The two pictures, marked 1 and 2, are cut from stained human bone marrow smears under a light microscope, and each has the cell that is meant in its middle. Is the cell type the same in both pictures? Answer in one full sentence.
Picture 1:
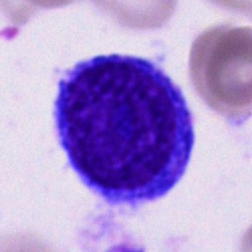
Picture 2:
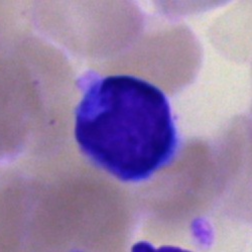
No, picture 1 shows a blast and picture 2 shows a lymphocyte.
